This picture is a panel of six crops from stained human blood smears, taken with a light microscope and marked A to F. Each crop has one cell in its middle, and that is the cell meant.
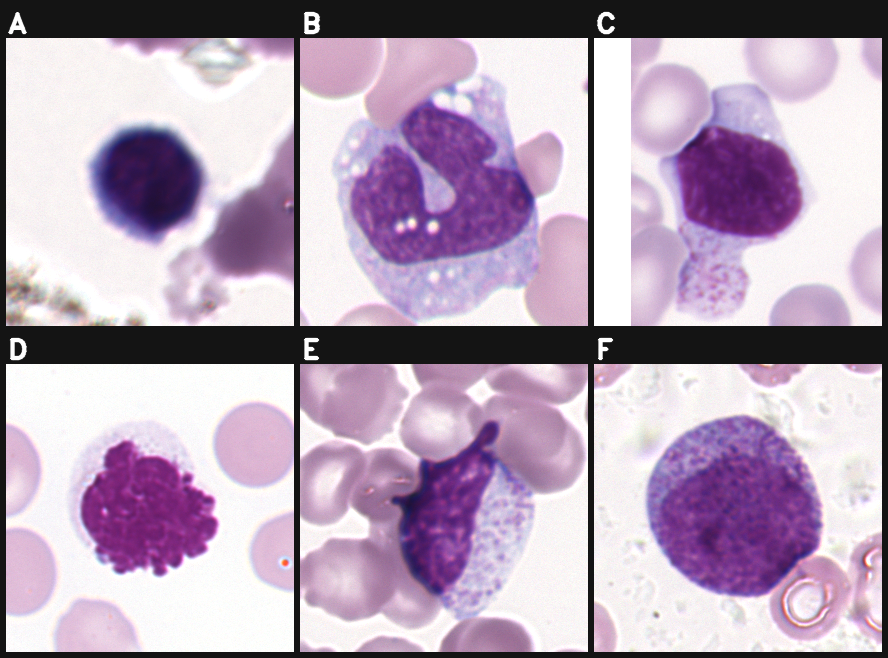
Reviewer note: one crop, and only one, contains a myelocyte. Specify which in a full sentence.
Of these crops, it is crop E that shows a myelocyte.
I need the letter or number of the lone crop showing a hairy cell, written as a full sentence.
Crop A is the single crop that shows a hairy cell.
